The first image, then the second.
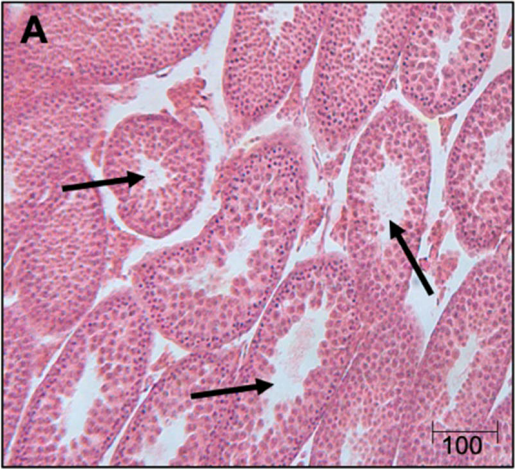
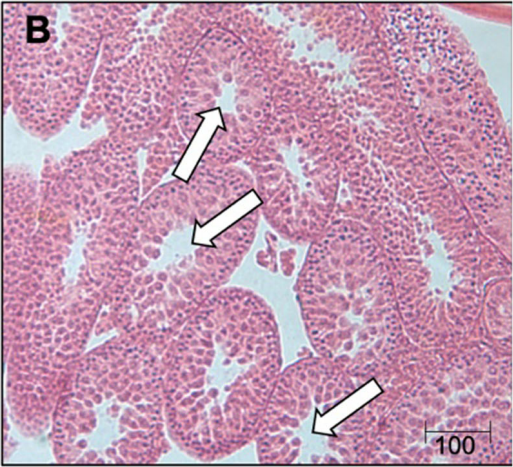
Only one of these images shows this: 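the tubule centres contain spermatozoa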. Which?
the first image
